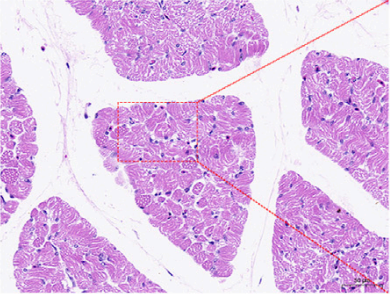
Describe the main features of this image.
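Cross-section of skeletal muscle in which the myofibers are small and grouped into rounded bundles separated by wide, pale, loose connective tissue septa. Within each bundle the fibers are tightly crowded, pink and irregular in outline, so that single fiber borders are hard to follow. Numerous small dark purple nuclei are scattered densely throughout the bundles. The wide pale spaces between bundles contain only sparse wavy fibers and few cells, giving the tissue a loose, lobulated appearance.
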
